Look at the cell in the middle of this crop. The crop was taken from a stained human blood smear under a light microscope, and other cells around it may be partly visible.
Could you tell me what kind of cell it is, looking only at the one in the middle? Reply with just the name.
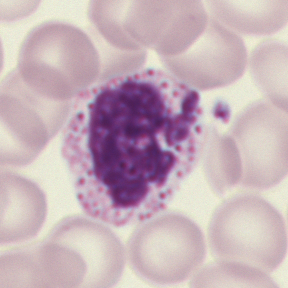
basophil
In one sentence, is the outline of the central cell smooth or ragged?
The cell membrane follows an uneven contour, either ragged or bearing projections.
